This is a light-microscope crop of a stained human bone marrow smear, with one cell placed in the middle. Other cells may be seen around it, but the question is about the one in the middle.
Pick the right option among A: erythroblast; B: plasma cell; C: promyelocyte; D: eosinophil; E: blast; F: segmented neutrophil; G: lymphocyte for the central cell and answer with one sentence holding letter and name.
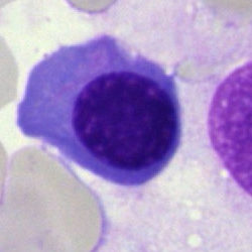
Identification: the cell in the middle is an erythroblast, matching option A.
